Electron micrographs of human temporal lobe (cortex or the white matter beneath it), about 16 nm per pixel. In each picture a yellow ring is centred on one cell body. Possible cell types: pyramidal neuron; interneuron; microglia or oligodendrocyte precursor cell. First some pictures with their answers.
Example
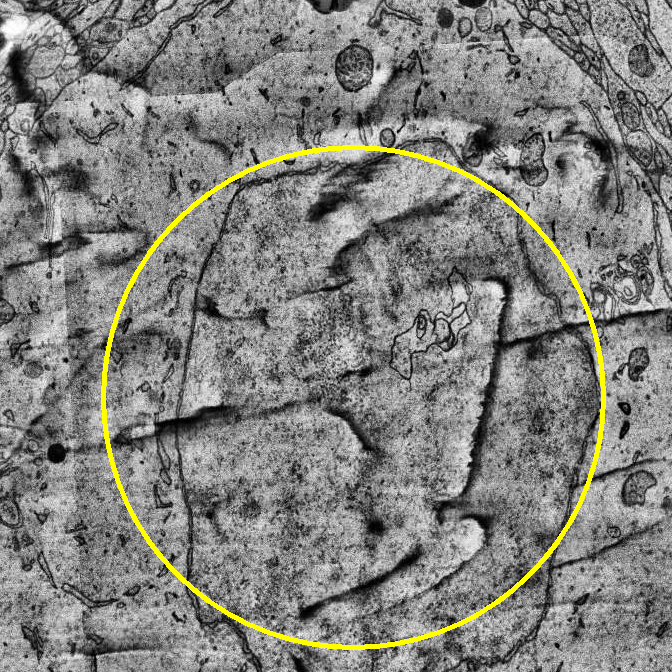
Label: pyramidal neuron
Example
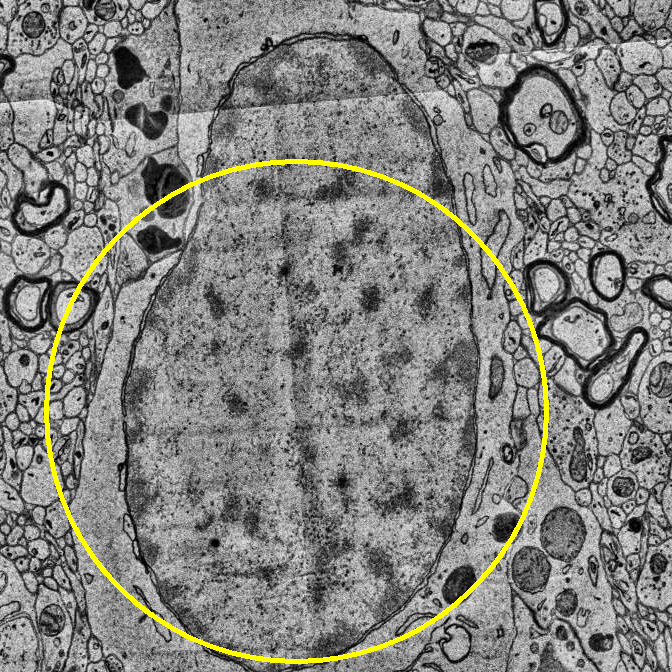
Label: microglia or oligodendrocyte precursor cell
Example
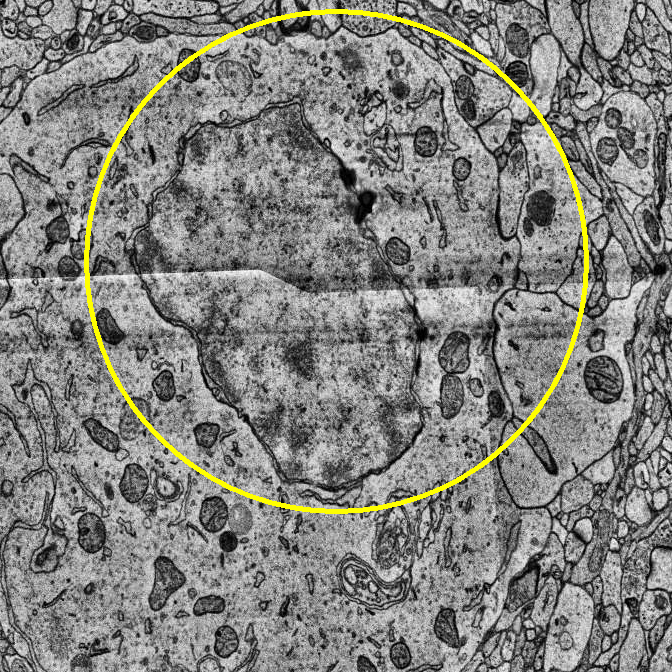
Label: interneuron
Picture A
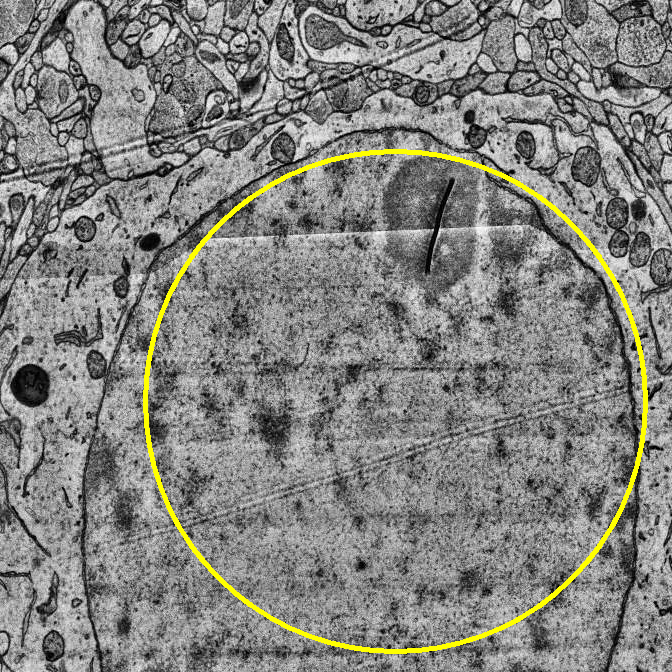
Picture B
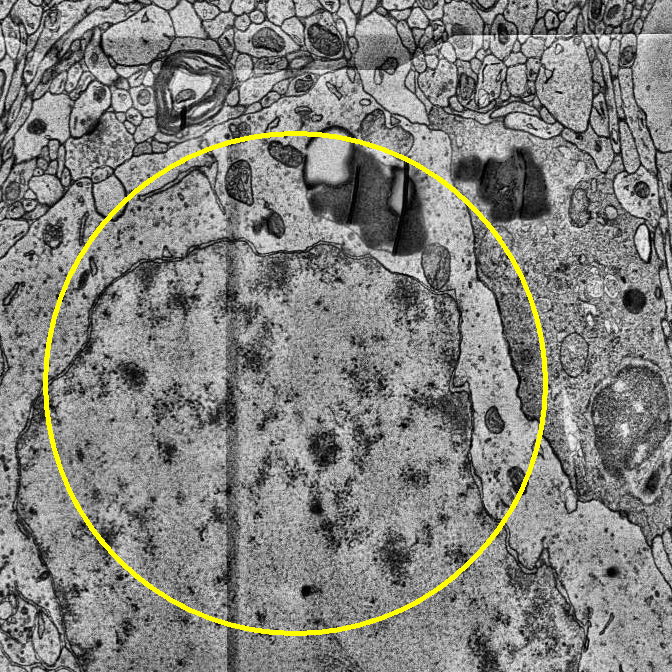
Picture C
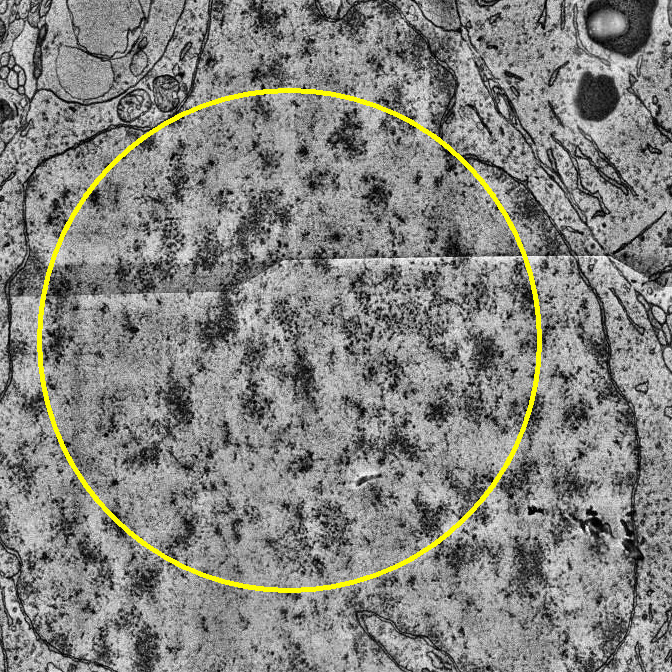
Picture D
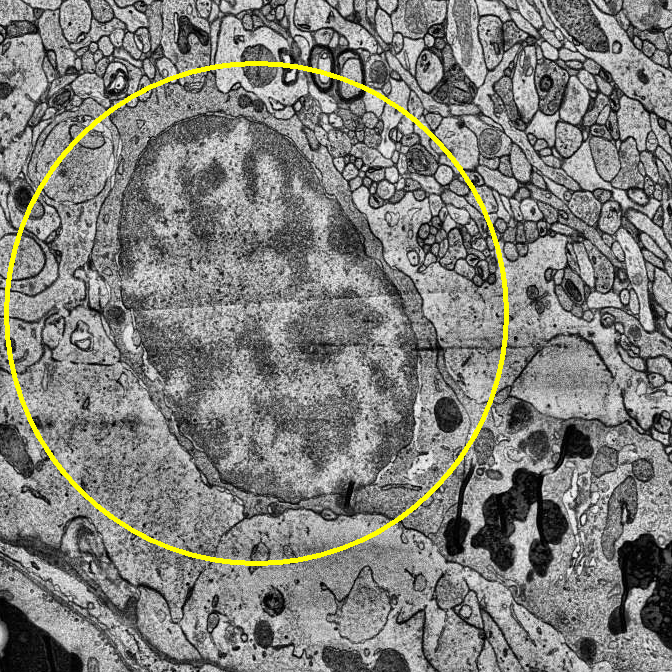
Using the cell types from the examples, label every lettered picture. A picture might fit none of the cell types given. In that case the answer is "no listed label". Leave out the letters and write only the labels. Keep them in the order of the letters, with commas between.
pyramidal neuron, interneuron, interneuron, no listed label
